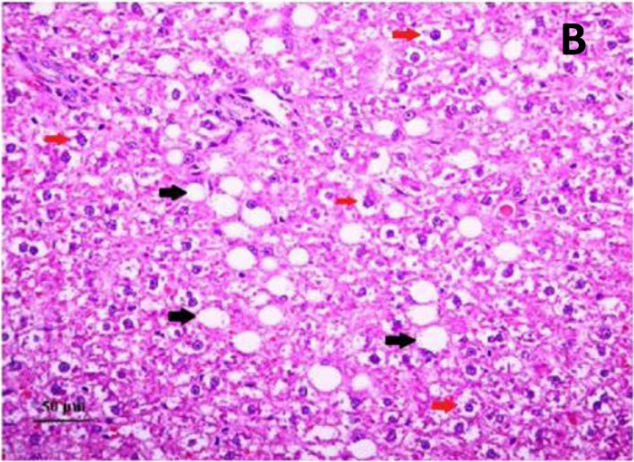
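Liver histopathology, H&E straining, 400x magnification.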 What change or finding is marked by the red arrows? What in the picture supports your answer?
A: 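The red arrows point at enlarged cells with pale, cleared cytoplasm. These cells have a dark nucleus surrounded by a wispy, rarefied cytoplasm. On this evidence: hepatocyte ballooning.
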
